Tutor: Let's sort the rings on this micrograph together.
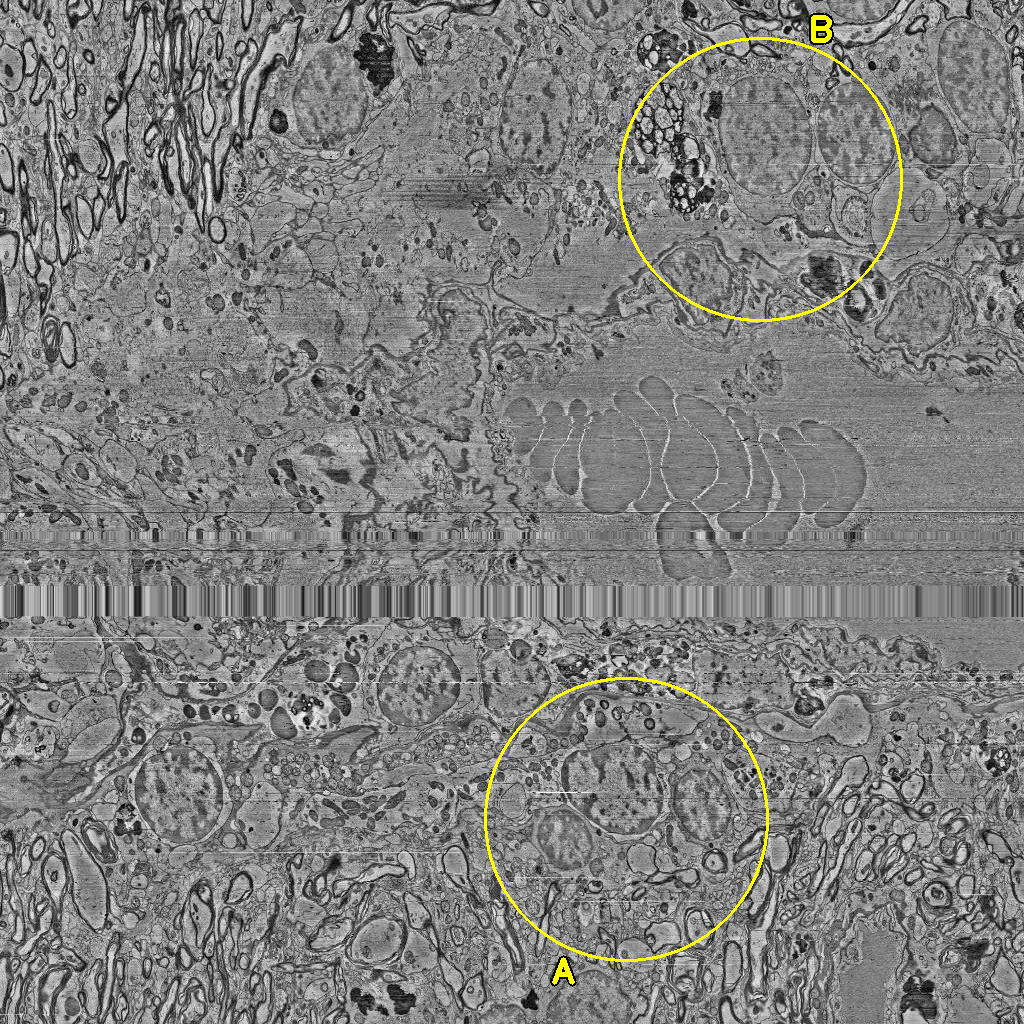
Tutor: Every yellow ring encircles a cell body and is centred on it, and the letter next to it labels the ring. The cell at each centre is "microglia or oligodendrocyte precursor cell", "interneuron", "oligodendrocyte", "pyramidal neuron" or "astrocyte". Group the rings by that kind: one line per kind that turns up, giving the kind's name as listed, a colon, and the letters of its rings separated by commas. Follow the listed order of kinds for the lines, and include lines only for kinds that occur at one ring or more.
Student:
microglia or oligodendrocyte precursor cell: A
oligodendrocyte: B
